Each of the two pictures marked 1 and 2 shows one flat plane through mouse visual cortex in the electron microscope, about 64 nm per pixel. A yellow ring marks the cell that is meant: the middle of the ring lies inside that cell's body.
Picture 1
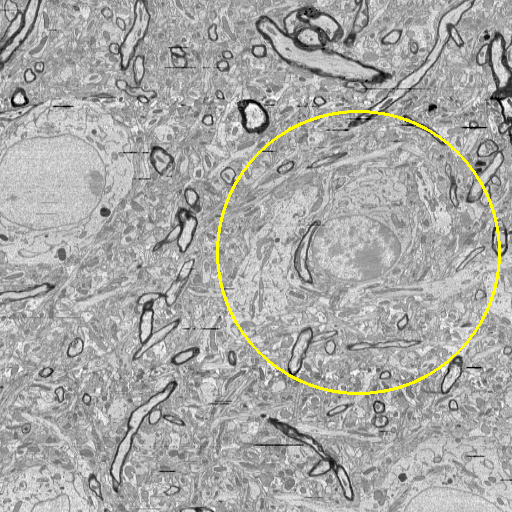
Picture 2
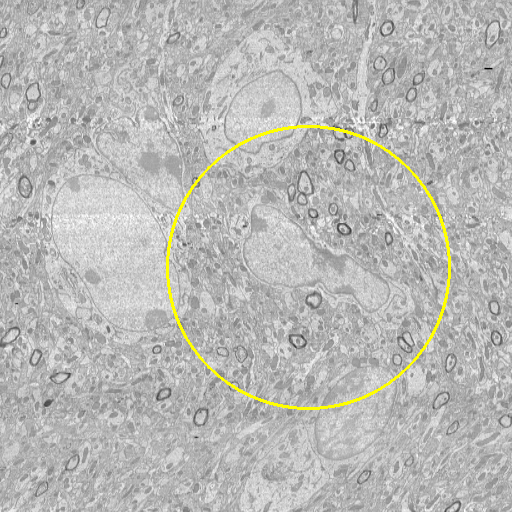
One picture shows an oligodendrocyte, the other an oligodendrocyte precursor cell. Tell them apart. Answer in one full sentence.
It is picture 1 that shows an oligodendrocyte, and picture 2 that shows an oligodendrocyte precursor cell.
